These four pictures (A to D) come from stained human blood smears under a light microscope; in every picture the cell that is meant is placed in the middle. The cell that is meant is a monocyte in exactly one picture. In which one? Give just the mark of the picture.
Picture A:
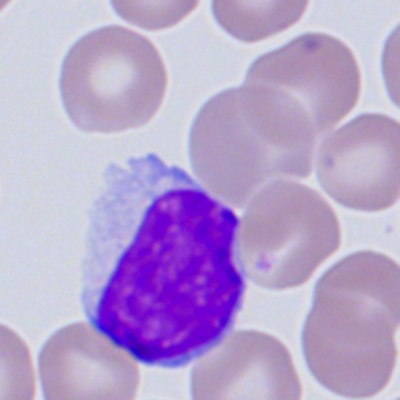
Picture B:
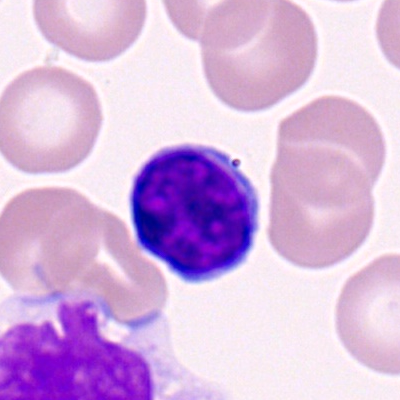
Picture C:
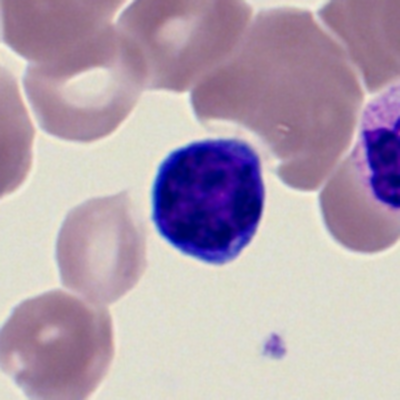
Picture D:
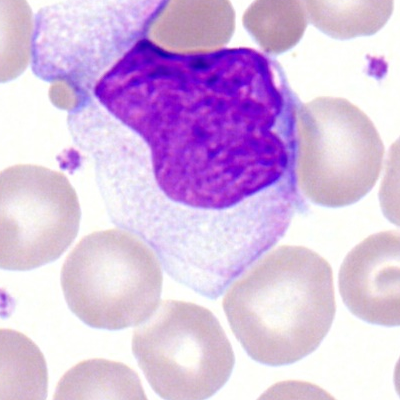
D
